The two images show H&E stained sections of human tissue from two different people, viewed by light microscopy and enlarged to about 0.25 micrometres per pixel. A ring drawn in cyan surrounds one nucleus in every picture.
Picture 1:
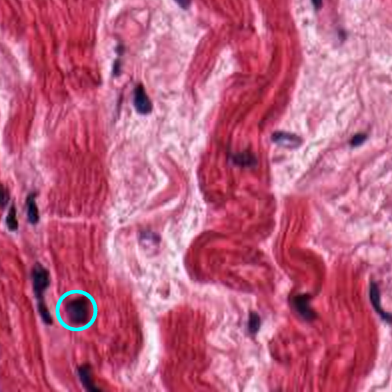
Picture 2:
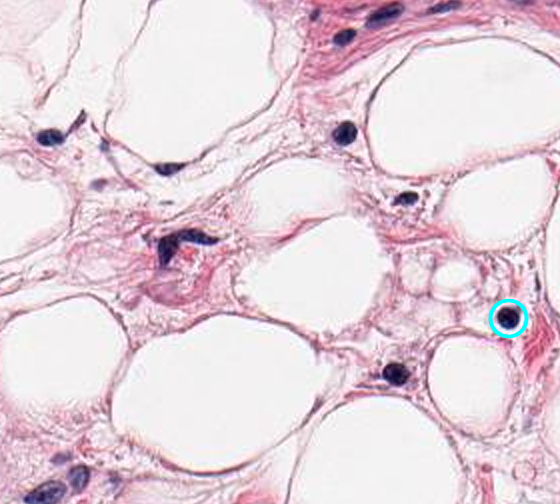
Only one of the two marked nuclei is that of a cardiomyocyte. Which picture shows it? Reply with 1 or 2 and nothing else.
1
